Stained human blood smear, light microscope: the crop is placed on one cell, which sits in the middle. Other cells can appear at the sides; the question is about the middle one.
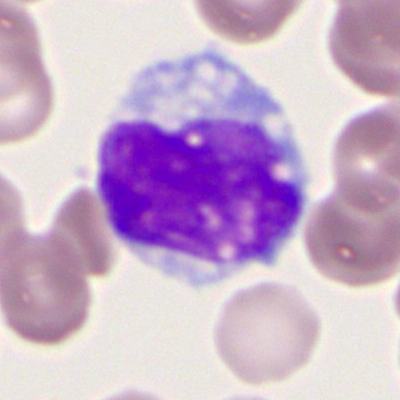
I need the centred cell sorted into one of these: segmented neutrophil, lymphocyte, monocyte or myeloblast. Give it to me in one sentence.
On this slide crop, the central cell is a monocyte.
